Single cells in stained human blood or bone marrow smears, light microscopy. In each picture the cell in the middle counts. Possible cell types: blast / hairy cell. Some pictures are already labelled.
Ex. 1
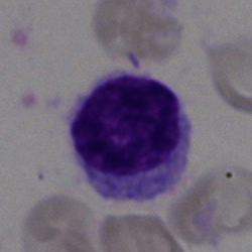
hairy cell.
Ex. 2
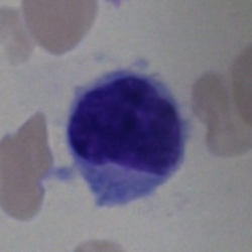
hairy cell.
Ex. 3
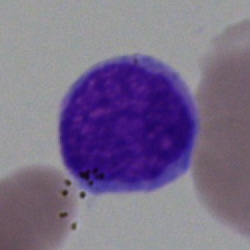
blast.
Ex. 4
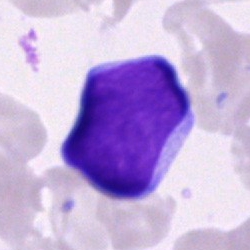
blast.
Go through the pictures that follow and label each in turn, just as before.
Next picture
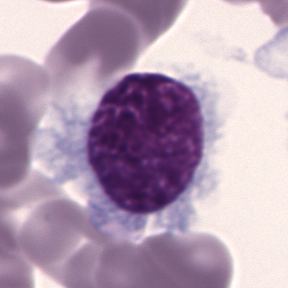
hairy cell.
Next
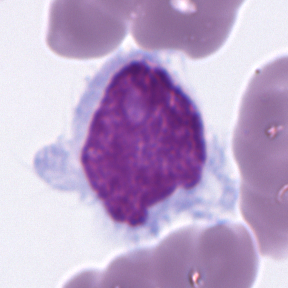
hairy cell.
